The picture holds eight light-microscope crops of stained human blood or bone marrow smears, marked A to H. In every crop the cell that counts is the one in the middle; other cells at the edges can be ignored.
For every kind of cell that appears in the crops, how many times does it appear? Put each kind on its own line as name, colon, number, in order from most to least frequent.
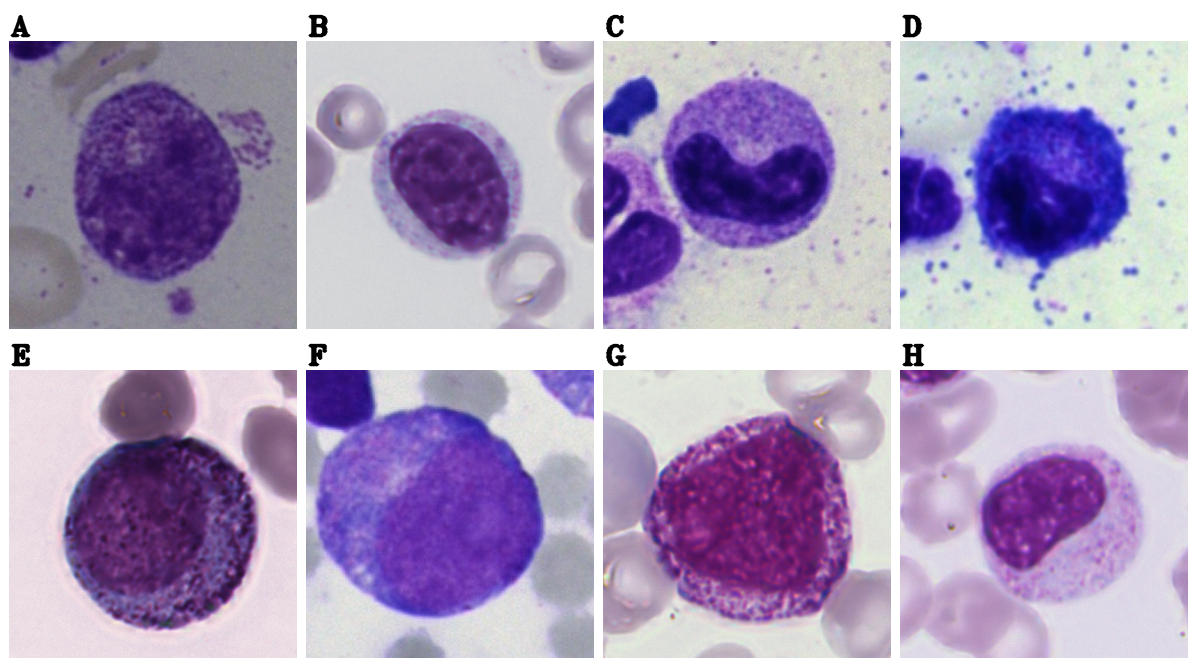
promyelocyte: 4
metamyelocyte: 3
band neutrophil: 1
